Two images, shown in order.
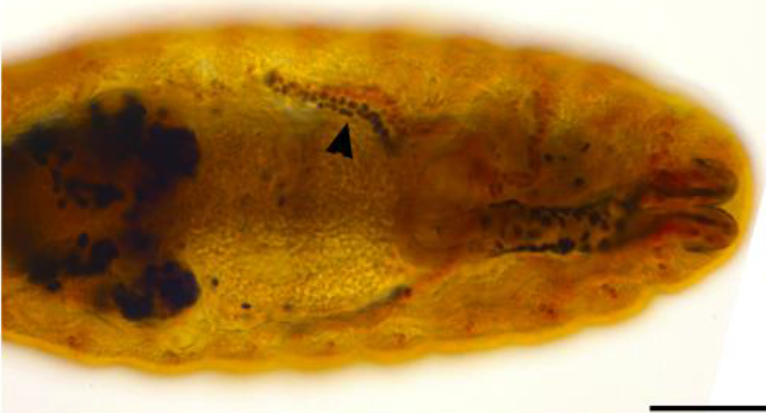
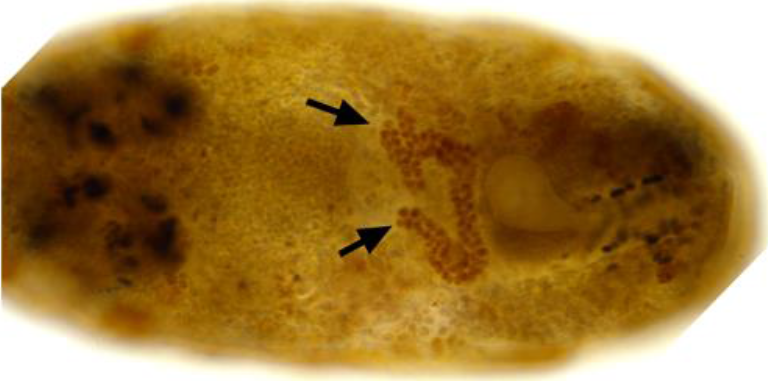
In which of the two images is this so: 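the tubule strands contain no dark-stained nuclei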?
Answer: the second image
